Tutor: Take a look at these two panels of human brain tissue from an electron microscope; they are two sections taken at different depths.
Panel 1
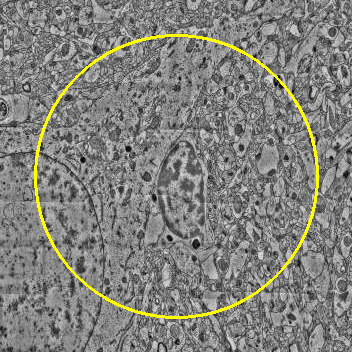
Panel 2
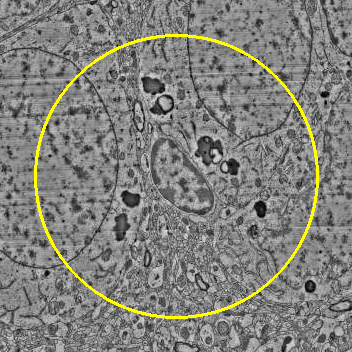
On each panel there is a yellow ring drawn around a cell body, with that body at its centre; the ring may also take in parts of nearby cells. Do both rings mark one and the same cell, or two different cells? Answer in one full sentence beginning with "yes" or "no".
No, in this micrograph the two rings mark two different cells.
